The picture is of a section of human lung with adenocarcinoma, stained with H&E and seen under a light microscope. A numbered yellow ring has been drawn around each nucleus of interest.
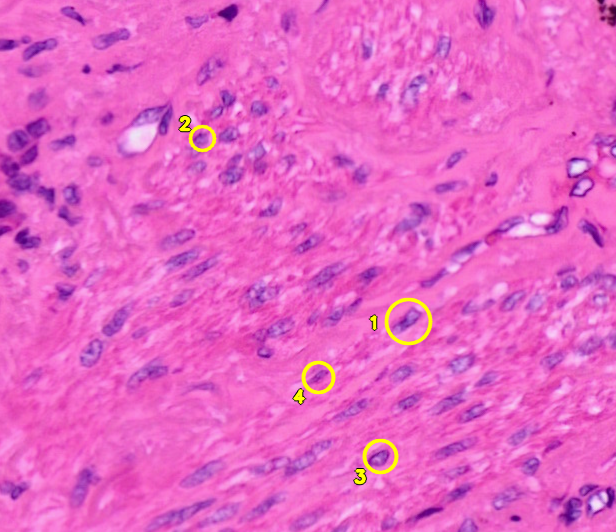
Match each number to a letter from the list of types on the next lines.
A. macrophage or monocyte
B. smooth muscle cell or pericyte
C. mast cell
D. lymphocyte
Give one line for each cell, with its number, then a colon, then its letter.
1: B
2: B
3: C
4: B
